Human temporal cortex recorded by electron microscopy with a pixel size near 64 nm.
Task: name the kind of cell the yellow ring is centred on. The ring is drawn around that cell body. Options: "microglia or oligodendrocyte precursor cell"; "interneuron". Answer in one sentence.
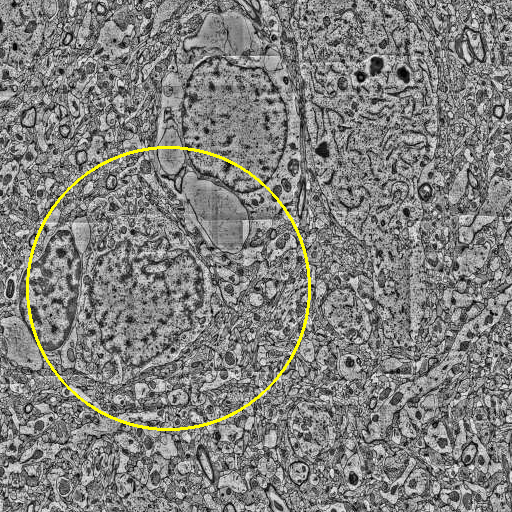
This cell body belongs to an interneuron.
